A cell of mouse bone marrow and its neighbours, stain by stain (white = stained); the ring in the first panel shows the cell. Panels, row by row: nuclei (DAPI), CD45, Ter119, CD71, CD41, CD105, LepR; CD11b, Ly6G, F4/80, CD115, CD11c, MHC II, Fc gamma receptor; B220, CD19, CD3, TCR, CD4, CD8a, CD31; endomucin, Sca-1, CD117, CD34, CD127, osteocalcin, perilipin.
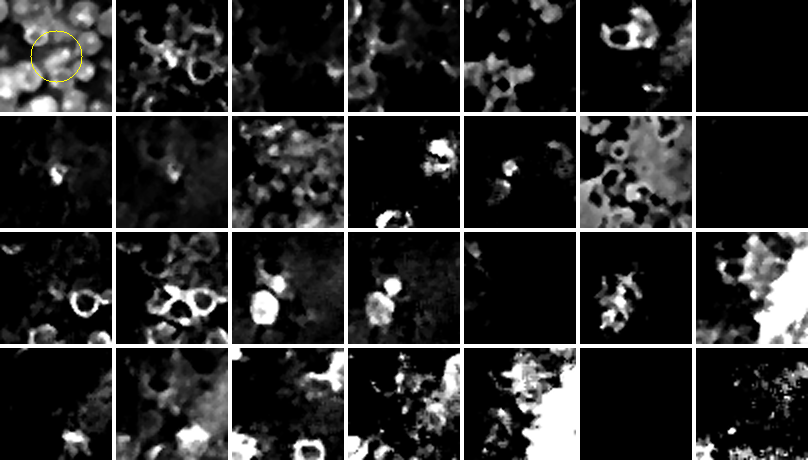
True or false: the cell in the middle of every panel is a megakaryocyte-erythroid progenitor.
False; it is a double-negative T cell.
